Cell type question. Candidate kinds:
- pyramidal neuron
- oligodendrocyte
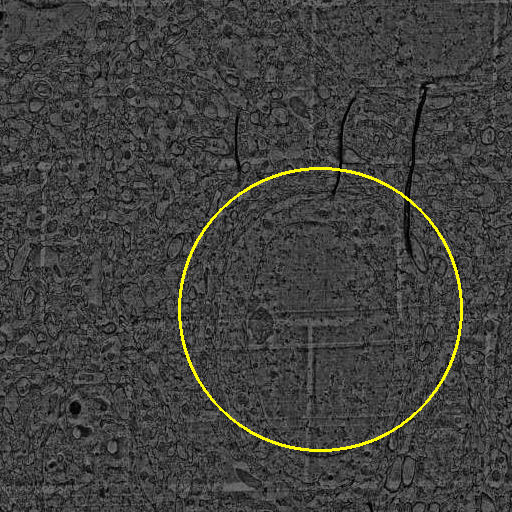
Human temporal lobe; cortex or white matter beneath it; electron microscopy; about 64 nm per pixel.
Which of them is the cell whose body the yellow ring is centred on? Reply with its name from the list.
pyramidal neuron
